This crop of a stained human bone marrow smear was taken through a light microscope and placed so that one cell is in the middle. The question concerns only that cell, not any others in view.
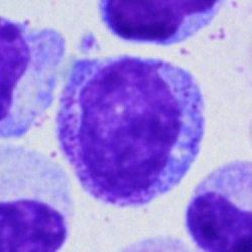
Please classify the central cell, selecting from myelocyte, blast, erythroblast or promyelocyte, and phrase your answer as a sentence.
The cell at the middle of the frame should be recorded as a myelocyte.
